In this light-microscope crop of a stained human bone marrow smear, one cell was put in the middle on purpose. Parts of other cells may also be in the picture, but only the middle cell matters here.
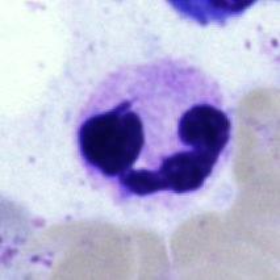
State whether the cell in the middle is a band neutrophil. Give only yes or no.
no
